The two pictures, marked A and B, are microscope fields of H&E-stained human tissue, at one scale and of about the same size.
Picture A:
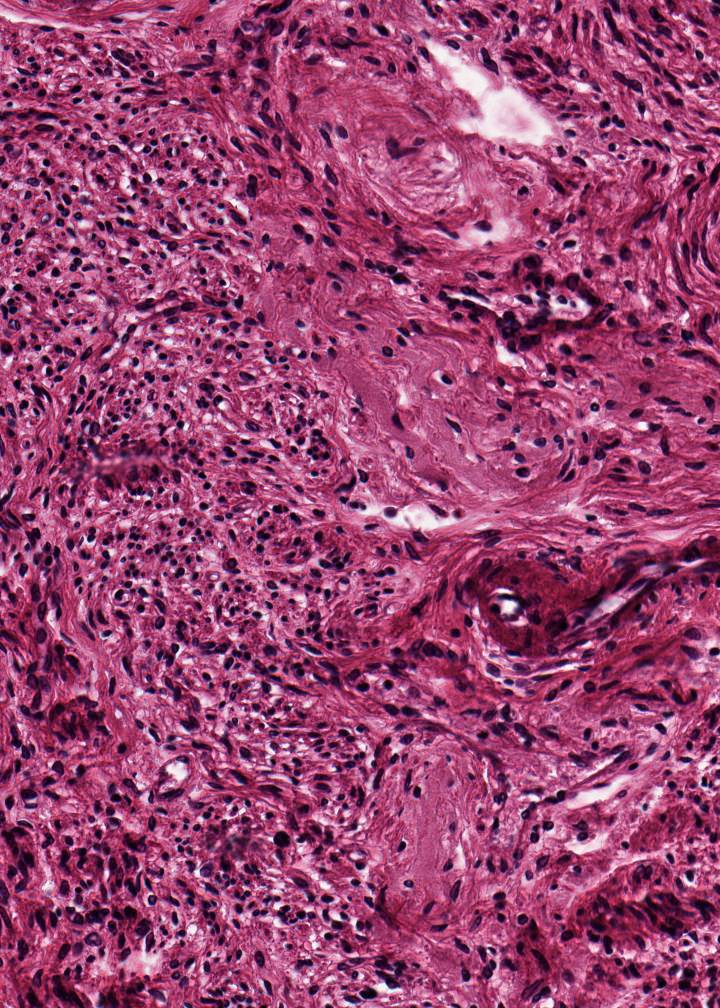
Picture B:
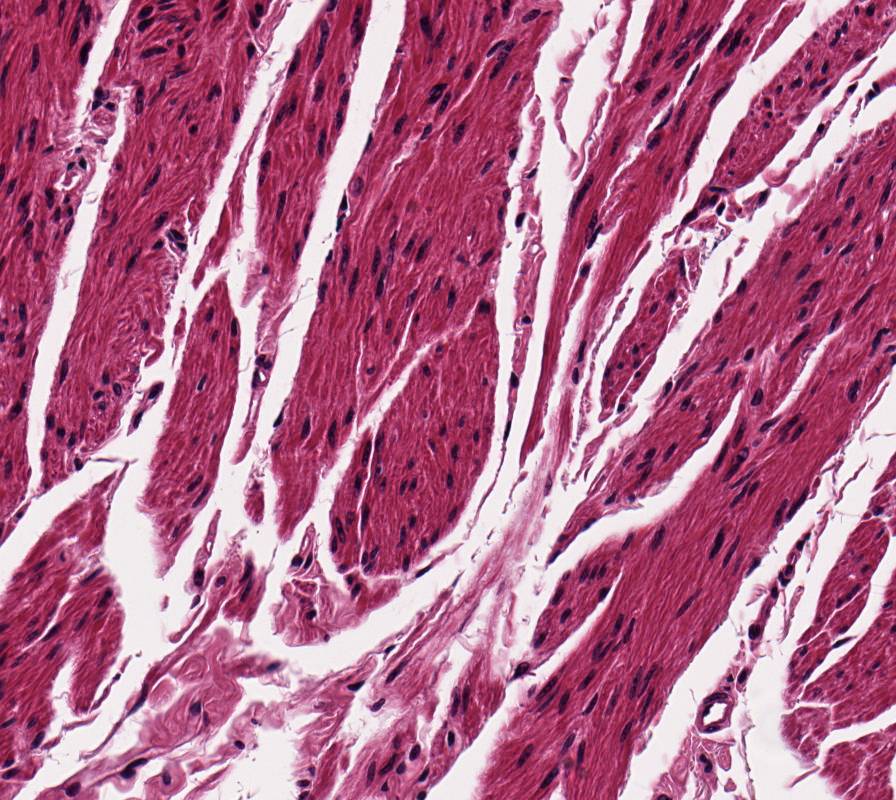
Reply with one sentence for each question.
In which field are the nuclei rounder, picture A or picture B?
Rounder nuclei lie in picture A.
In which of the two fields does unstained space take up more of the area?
It is picture B in which white space covers the larger part.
